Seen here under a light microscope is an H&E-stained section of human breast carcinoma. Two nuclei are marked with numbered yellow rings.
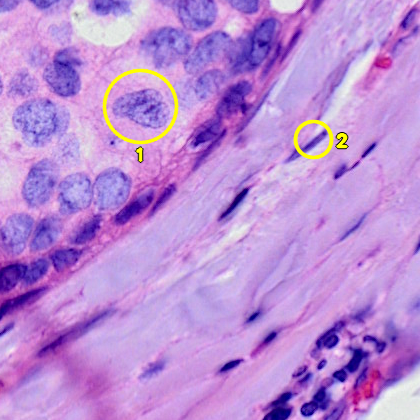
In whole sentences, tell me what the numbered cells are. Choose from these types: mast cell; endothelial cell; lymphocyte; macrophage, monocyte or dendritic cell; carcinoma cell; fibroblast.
Cell 1 is a carcinoma cell and cell 2 is a fibroblast.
